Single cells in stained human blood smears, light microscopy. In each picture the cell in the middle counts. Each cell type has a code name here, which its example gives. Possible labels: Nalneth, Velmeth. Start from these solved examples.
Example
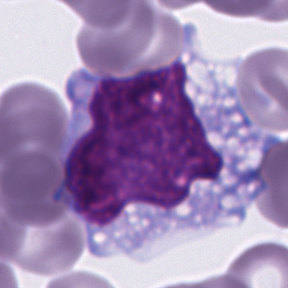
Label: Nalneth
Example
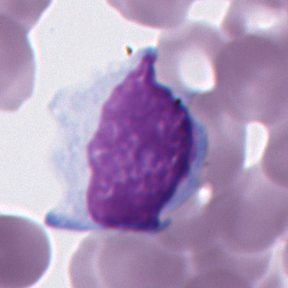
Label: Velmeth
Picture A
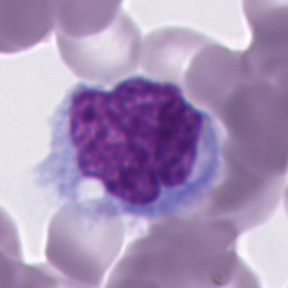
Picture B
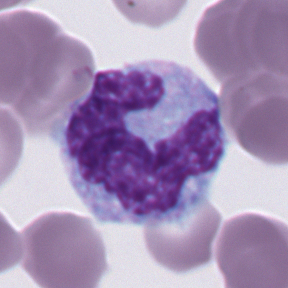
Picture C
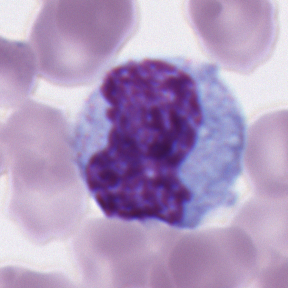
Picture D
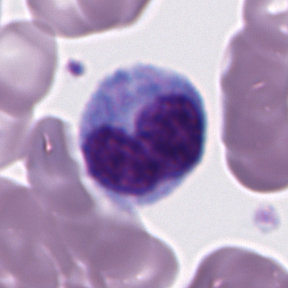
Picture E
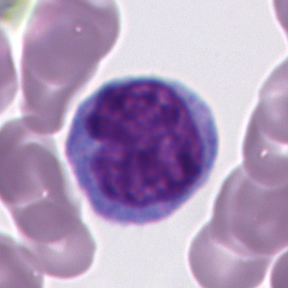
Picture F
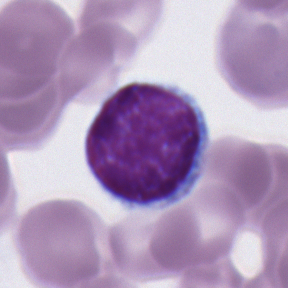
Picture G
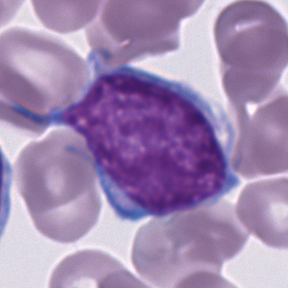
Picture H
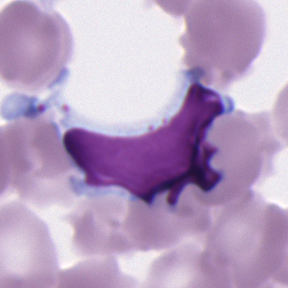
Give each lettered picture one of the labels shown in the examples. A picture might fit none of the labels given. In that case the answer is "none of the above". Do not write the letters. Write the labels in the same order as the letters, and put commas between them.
Nalneth, Nalneth, Nalneth, Nalneth, Nalneth, Velmeth, none of the above, Velmeth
